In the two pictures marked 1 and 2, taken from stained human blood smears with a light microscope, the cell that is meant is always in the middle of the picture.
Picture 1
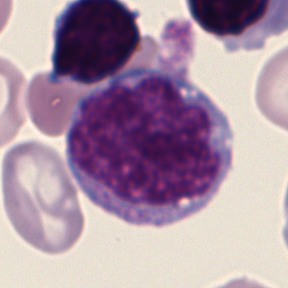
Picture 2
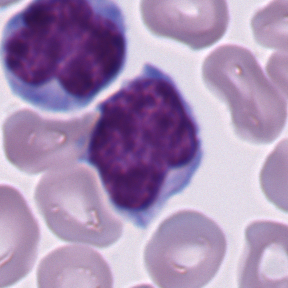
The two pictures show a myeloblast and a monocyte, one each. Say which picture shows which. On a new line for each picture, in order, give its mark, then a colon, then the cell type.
1: monocyte
2: myeloblast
